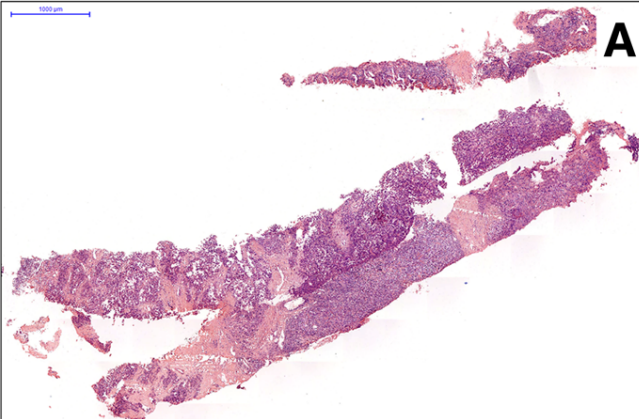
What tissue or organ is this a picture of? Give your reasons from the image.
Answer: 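Needle biopsy specimen. Several long, narrow strips of tissue lie side by side. The strips have the thin, cylindrical shape of biopsy cores.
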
